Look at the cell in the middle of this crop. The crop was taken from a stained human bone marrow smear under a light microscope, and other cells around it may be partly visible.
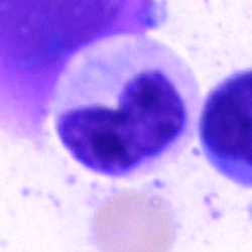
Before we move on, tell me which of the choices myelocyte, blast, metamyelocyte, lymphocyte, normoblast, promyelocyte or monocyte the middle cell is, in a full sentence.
The middle of this crop holds a metamyelocyte.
